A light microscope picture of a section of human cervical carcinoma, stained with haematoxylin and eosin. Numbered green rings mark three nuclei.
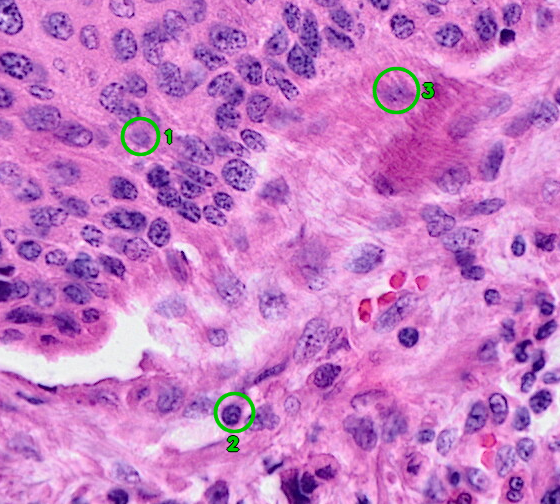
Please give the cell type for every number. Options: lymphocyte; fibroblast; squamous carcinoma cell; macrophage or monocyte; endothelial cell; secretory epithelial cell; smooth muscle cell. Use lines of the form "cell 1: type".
cell 1: squamous carcinoma cell
cell 2: lymphocyte
cell 3: fibroblast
